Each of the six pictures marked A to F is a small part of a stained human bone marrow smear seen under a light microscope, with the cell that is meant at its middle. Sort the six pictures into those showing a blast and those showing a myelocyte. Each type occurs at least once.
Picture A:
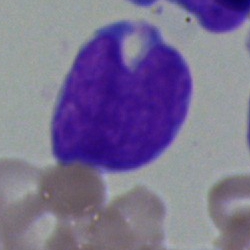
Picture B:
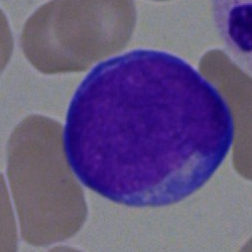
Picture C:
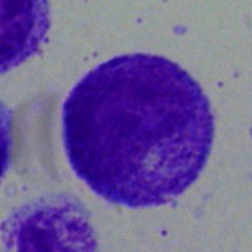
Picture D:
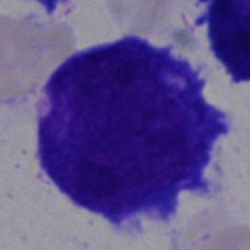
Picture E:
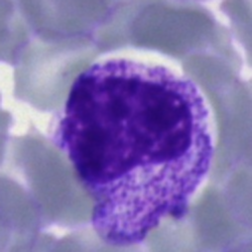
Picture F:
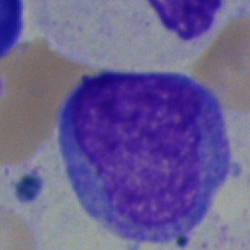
A: blast
B: blast
C: myelocyte
D: blast
E: myelocyte
F: blast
